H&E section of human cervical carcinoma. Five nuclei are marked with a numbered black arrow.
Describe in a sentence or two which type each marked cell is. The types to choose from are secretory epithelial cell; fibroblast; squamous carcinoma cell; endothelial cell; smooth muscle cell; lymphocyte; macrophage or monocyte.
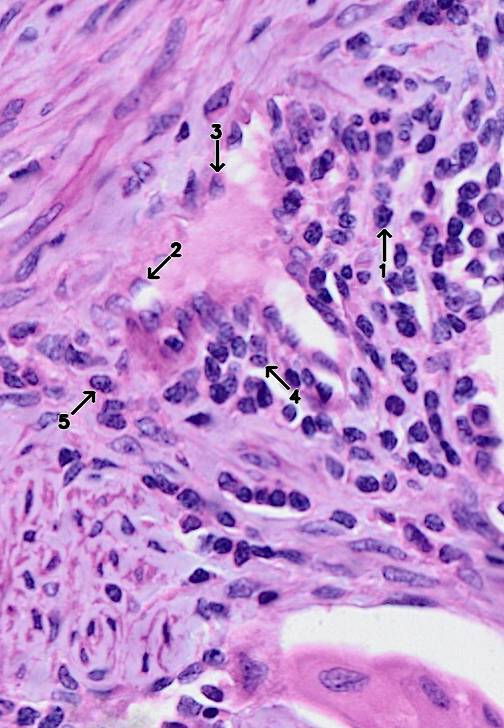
Cells 1, 4 and 5 are lymphocytes. Cells 2 and 3 are endothelial cells.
